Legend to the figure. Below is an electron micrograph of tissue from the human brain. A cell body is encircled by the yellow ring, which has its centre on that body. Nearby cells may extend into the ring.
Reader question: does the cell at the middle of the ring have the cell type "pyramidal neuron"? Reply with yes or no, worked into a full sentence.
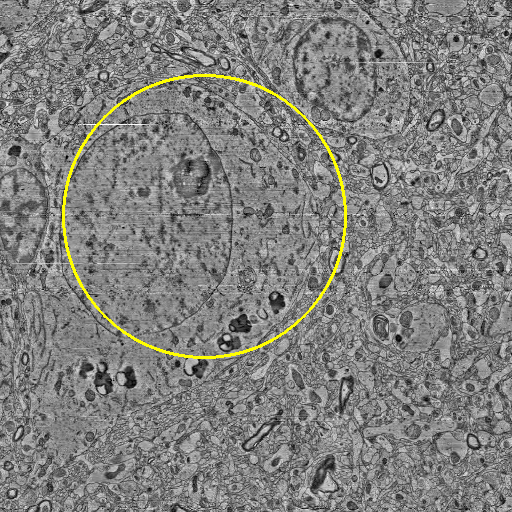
Yes, the cell sitting at the middle of the ring in the picture has that cell type.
